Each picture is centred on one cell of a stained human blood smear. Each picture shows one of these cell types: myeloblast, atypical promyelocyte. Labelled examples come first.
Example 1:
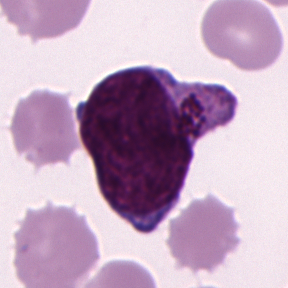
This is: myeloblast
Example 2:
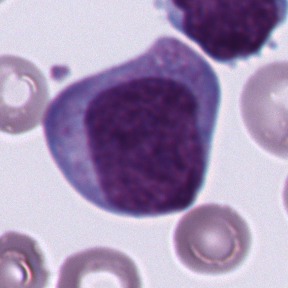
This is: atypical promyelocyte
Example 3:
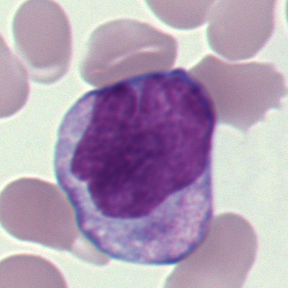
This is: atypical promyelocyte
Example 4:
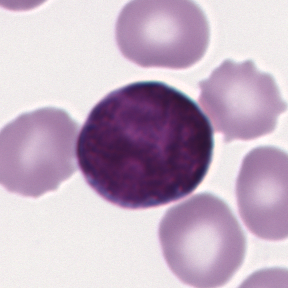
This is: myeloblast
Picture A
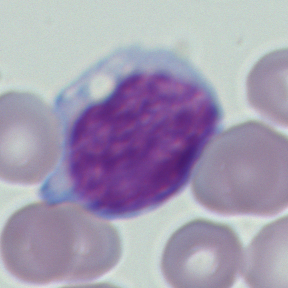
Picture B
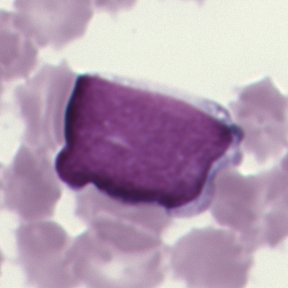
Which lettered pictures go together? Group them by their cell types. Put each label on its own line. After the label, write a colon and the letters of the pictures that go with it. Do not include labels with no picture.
myeloblast: A, B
